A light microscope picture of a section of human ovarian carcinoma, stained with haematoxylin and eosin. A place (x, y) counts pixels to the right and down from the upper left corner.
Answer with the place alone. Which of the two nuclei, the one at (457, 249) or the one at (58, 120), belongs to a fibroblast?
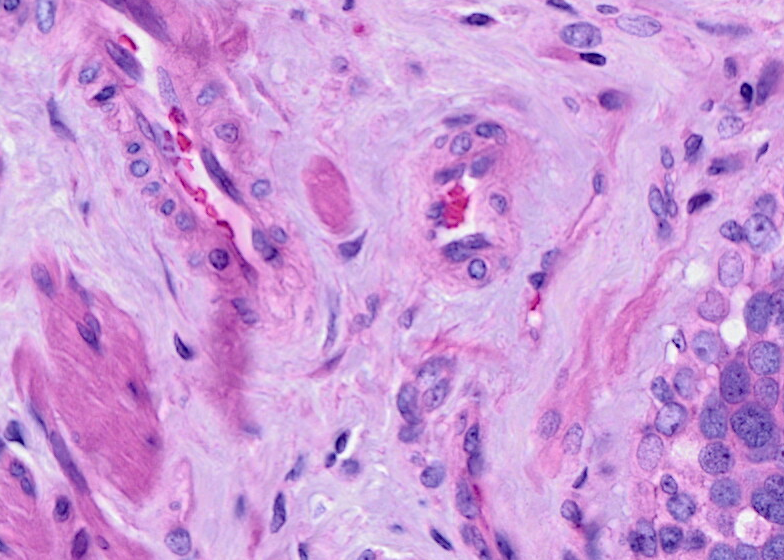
(58, 120)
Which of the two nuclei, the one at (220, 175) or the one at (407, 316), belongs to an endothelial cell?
(220, 175)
